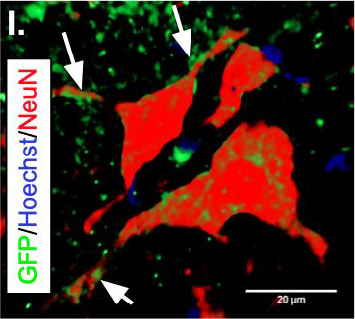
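Two big polygonal somata occupy the centre, each giving off thick tapering processes, and a further red process runs along the lower left. Scattered small green puncta and short green fibres lie in the surrounding neuropil and along the surfaces and processes of the red cells, with some green dots over the cell bodies. A few small blue nuclei sit between the neurons.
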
